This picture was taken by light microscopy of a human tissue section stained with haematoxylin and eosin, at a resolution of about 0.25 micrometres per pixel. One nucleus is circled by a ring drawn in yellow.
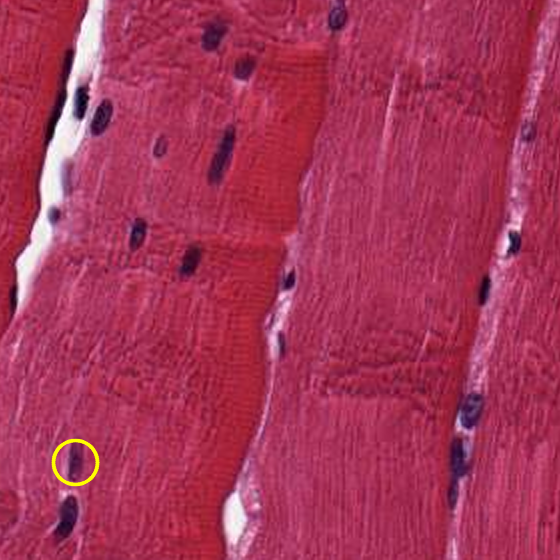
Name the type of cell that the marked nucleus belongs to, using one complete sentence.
The nucleus that the mark indicates belongs to a skeletal muscle fibre.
